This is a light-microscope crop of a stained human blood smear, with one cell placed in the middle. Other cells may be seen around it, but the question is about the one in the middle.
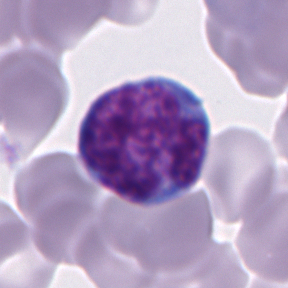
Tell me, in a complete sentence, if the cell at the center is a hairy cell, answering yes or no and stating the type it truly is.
No, a typical lymphocyte, not a hairy cell, is what sits in the centre of the crop.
